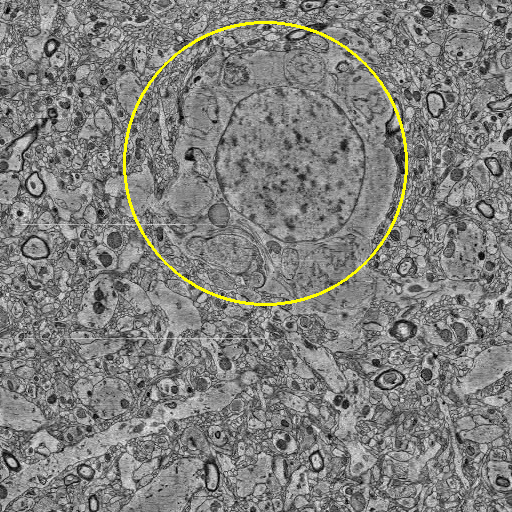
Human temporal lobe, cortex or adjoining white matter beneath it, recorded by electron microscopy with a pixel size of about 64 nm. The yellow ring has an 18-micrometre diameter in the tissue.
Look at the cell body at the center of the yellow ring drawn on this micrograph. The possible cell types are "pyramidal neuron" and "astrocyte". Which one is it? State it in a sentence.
The cell in the middle of the ring is an astrocyte.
